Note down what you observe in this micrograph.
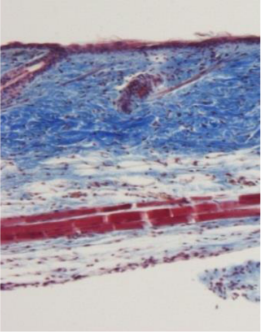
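This is a section through skin in which the fibrous connective tissue stains blue. A thin epidermis with dark nuclei lines the upper surface, and hair follicles slant down into the blue dermis. The dermis is a dense meshwork of blue collagen fibres with scattered dark nuclei. Below it lie a few pale fat vacuoles and looser blue tissue. Bright red bands of muscle run across the lower part of the section.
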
